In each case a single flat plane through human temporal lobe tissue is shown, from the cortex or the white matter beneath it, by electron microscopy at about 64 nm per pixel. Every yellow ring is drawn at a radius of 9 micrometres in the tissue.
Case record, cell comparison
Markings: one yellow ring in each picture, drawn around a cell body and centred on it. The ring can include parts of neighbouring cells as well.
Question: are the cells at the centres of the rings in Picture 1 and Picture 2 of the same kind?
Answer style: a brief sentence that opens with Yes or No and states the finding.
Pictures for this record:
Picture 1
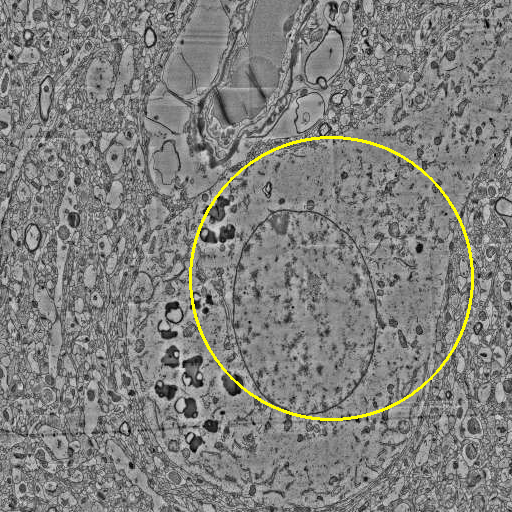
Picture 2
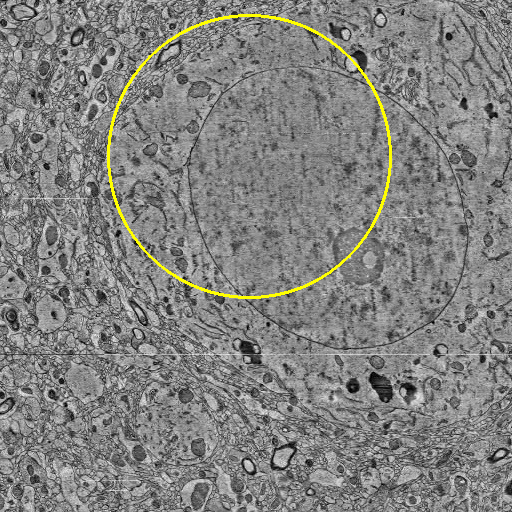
Yes, the cells in Picture 1 and Picture 2 are of the same kind.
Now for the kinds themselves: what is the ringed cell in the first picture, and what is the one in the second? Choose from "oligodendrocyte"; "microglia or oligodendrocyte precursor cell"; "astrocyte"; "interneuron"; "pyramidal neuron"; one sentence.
Each cell, in the first picture and the second, is a pyramidal neuron.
